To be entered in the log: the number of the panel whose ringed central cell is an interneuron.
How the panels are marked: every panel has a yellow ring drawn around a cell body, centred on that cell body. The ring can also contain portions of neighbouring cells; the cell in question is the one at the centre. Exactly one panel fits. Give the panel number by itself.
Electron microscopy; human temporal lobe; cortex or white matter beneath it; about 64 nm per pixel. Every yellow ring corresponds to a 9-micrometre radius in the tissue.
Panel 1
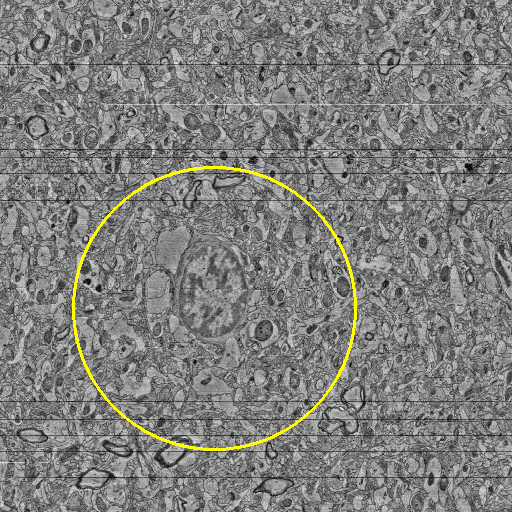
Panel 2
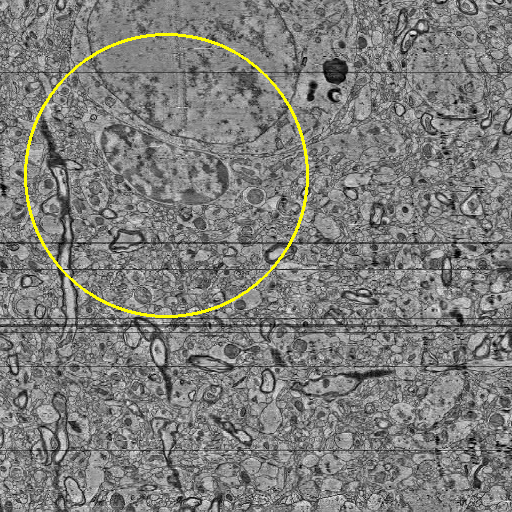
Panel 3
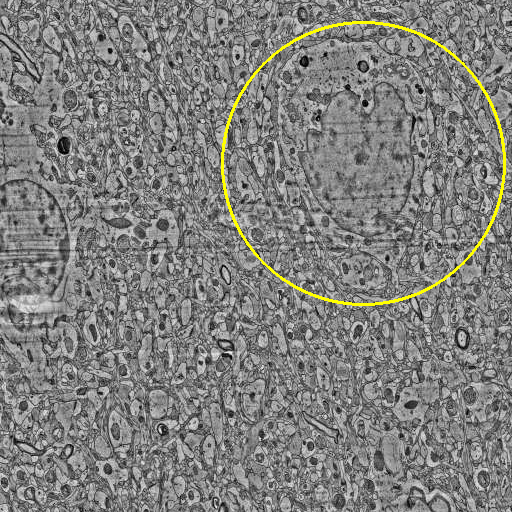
3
